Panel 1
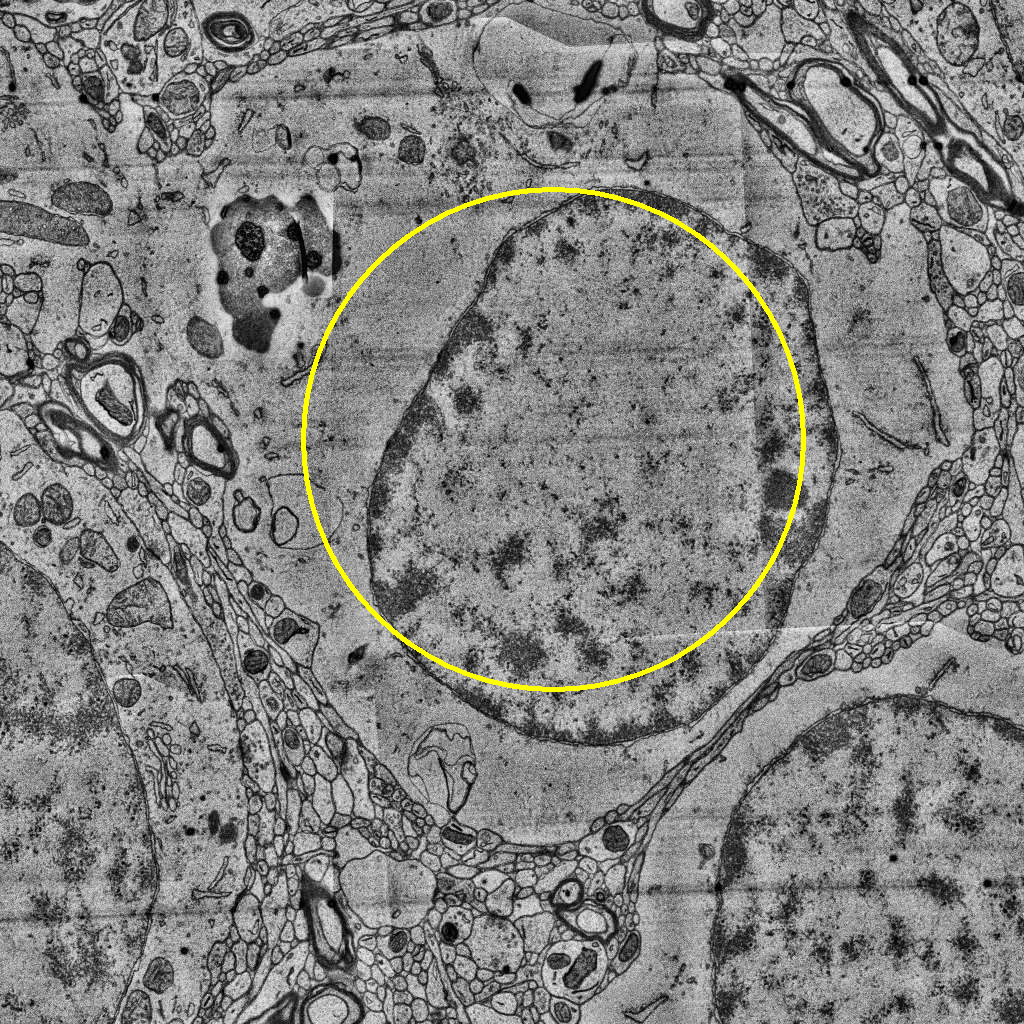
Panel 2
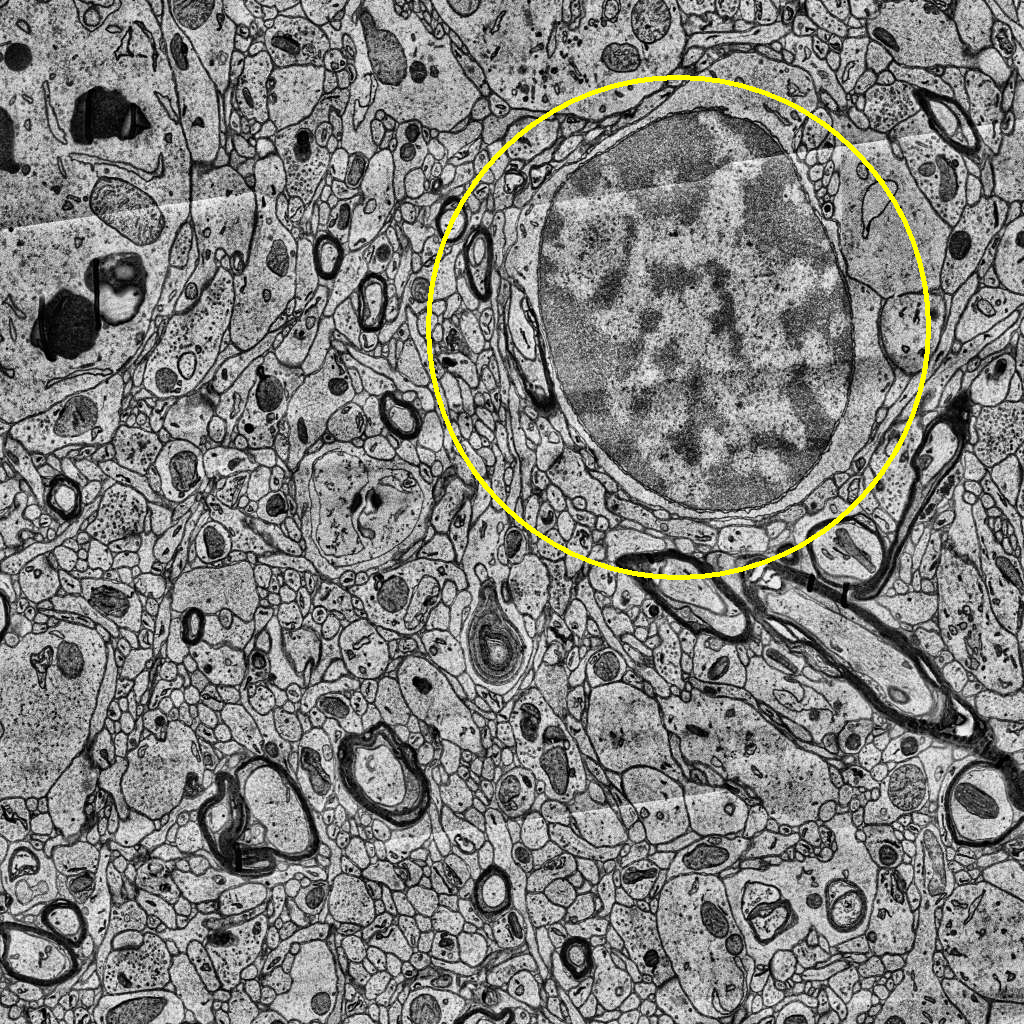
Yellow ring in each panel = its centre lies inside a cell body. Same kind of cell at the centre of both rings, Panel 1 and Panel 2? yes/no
no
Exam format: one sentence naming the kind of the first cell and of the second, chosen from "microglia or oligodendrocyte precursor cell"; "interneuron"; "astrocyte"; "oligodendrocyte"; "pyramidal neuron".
The first of the two cells is an astrocyte, and the second is a microglial cell or oligodendrocyte precursor cell.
